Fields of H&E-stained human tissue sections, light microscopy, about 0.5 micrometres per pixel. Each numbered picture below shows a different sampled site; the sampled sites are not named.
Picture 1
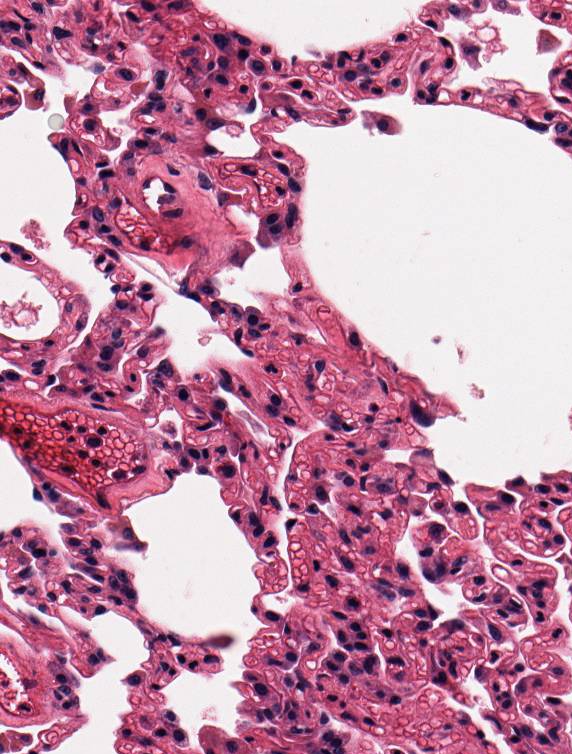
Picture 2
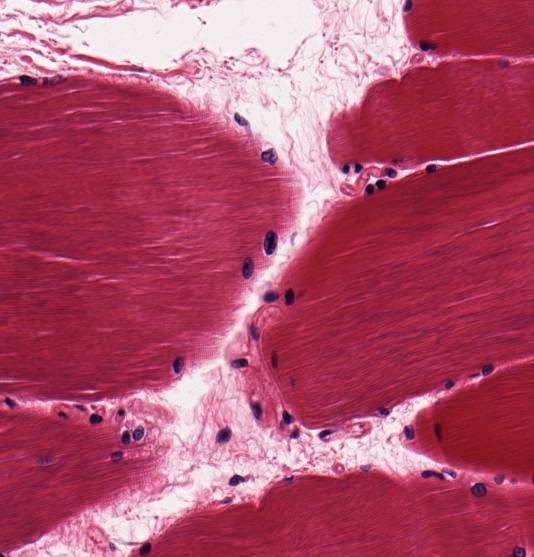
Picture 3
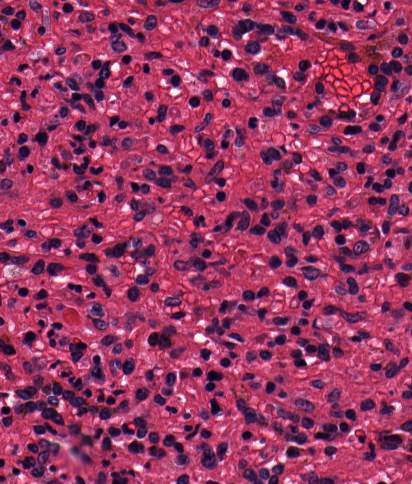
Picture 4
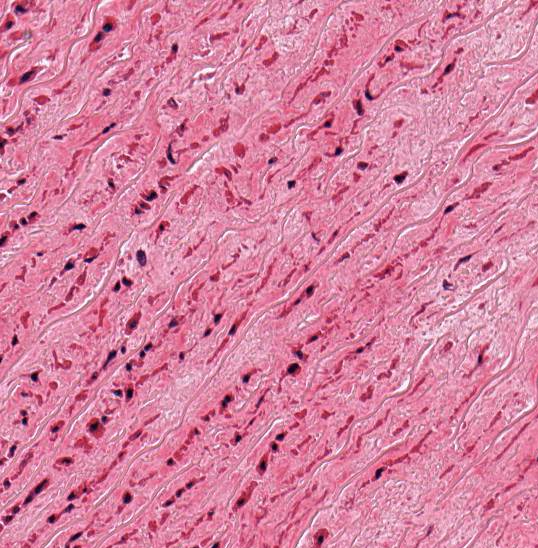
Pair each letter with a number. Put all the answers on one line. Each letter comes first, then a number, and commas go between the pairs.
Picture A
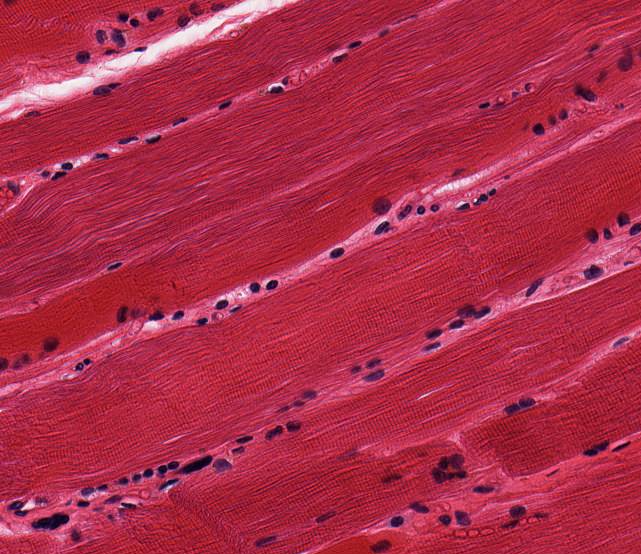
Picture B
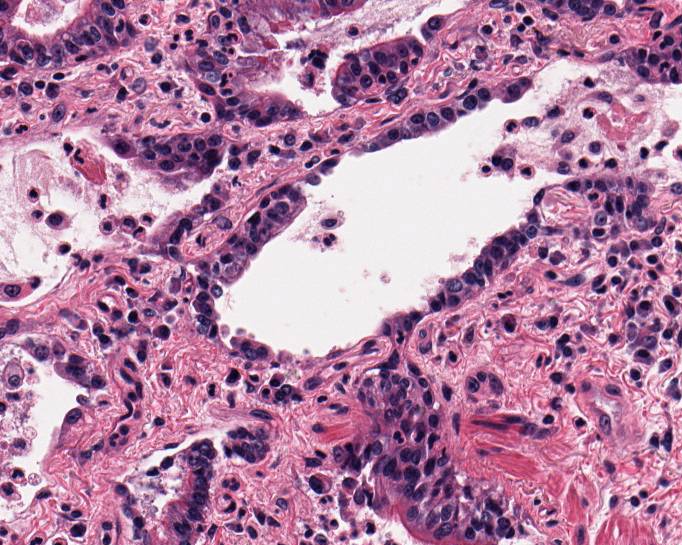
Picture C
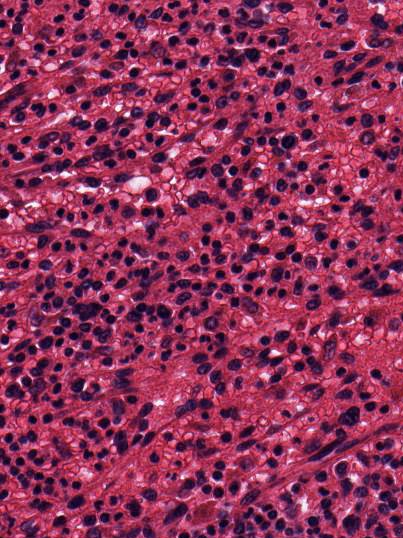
A 2, B 1, C 3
